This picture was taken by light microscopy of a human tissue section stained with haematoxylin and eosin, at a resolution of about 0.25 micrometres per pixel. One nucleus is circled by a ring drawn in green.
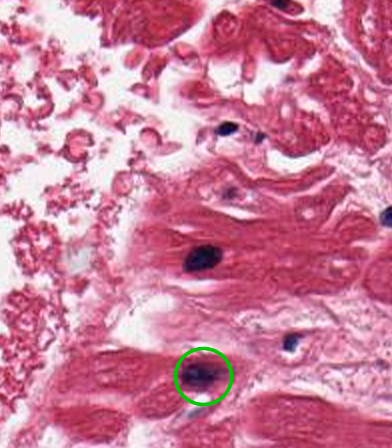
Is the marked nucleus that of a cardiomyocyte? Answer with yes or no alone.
yes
